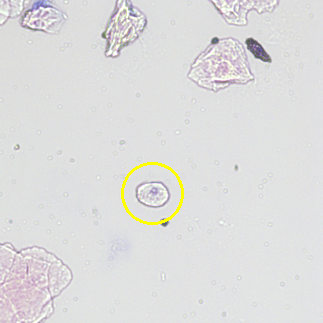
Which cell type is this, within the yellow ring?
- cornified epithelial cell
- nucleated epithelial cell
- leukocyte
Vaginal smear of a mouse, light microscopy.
Within the ring is a nucleated epithelial cell.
